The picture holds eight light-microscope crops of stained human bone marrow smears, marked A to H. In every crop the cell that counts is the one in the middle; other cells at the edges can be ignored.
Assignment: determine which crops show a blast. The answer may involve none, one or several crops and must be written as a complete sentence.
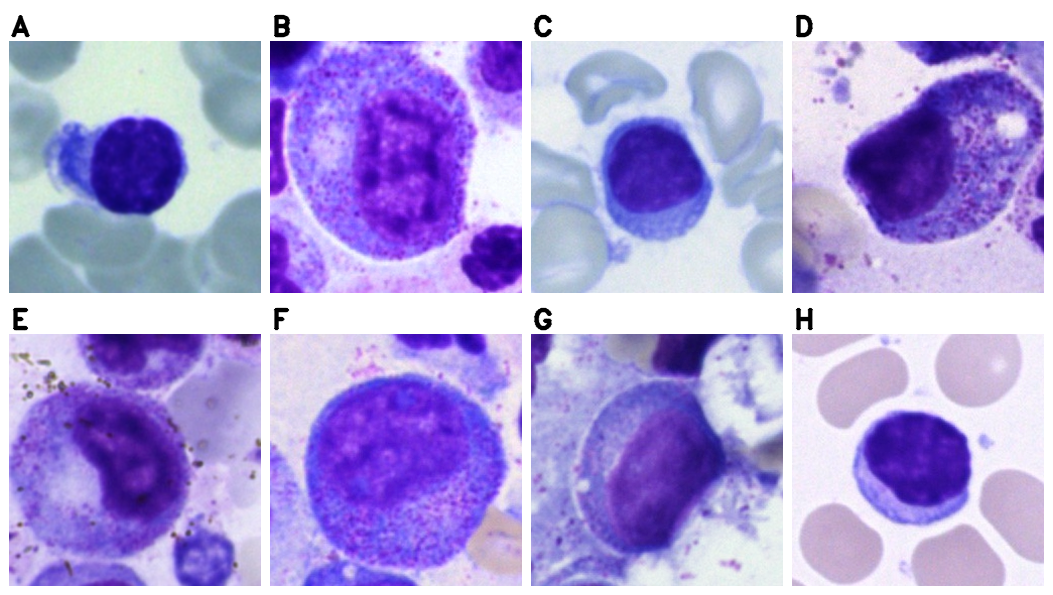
There is only one crop with a blast, and that is crop G.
